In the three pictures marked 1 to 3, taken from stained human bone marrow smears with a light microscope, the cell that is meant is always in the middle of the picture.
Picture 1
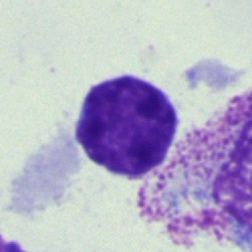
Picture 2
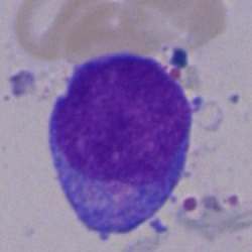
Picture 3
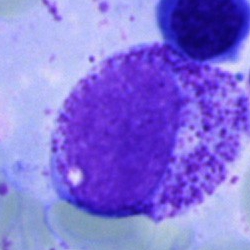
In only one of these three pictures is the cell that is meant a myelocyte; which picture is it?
3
